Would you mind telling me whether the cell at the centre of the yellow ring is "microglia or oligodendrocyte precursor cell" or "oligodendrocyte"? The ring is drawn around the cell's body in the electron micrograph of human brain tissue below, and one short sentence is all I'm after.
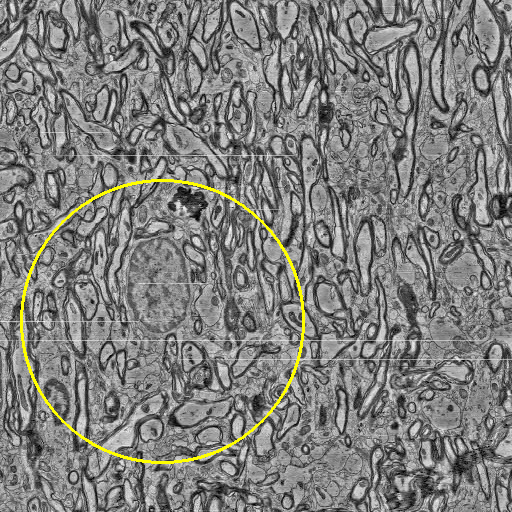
In the centre of the ring lies an oligodendrocyte.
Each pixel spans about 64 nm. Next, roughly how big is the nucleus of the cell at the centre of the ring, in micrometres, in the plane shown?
About 6 by 4 micrometres in this plane; clearly longer than it is wide.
